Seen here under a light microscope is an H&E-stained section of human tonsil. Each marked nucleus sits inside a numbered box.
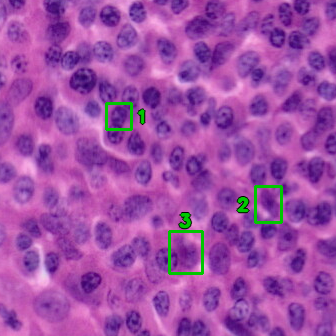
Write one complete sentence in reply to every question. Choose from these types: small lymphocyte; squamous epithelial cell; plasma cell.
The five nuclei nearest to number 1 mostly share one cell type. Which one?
Plasma cells make up most of the five nuclei closest to number 1.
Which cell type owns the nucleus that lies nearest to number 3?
The nearest nucleus to number 3 belongs to a plasma cell.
